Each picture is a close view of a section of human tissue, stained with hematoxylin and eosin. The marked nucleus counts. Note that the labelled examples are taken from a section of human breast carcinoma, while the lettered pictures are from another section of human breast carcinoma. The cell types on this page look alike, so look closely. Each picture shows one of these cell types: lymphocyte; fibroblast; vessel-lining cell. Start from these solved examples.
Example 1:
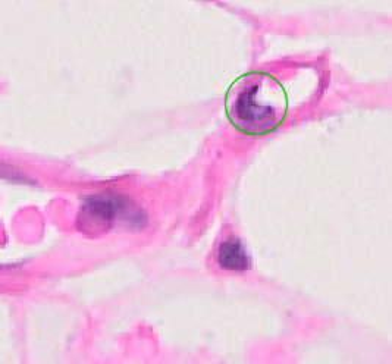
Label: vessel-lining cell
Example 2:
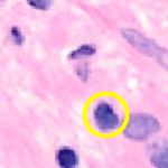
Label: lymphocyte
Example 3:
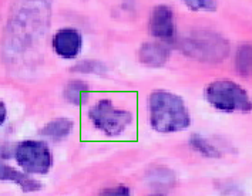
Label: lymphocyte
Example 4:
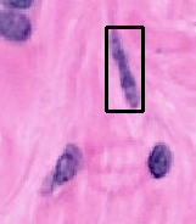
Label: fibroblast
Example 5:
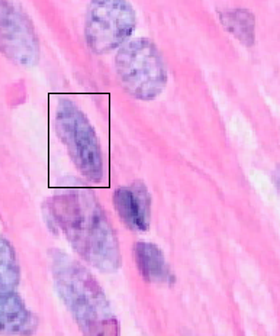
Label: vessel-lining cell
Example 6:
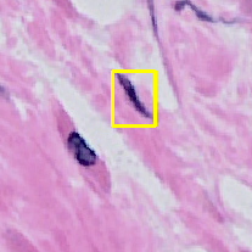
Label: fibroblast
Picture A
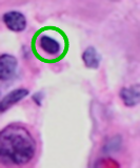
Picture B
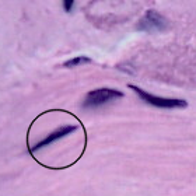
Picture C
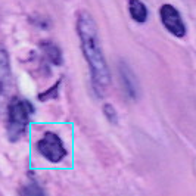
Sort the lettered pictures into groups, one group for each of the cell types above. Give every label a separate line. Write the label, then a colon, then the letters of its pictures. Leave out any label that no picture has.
lymphocyte: A, C
fibroblast: B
